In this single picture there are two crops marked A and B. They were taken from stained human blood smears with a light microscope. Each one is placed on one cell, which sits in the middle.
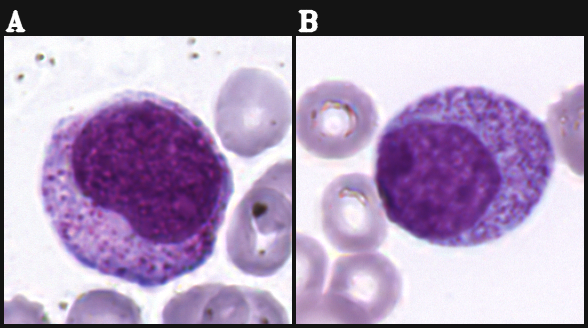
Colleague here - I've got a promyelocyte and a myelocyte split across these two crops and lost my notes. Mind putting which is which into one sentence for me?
The cell in crop A is a promyelocyte, whereas the cell in crop B is a myelocyte.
